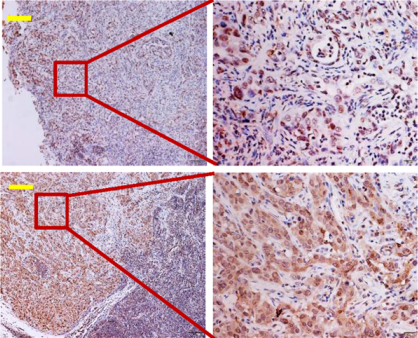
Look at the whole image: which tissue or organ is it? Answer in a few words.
lymph node metastatic cancer tissues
